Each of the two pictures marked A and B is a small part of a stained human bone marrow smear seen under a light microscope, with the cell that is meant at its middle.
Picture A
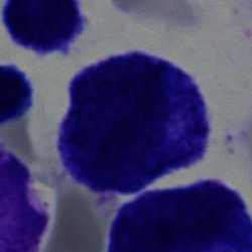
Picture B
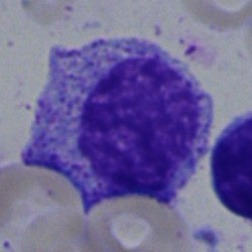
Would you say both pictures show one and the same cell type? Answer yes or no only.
no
